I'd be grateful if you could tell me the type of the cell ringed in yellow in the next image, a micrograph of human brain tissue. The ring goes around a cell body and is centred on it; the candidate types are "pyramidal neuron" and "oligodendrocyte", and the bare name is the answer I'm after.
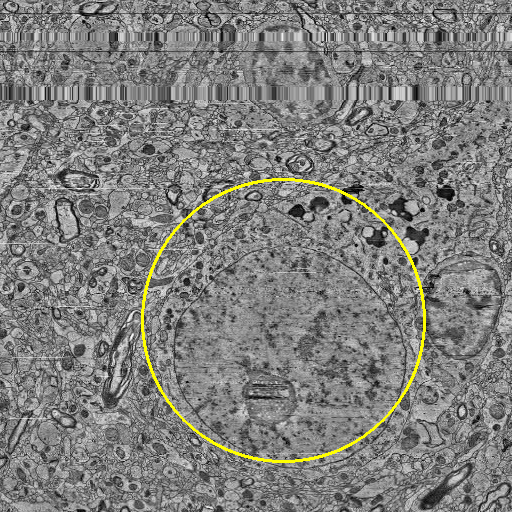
pyramidal neuron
